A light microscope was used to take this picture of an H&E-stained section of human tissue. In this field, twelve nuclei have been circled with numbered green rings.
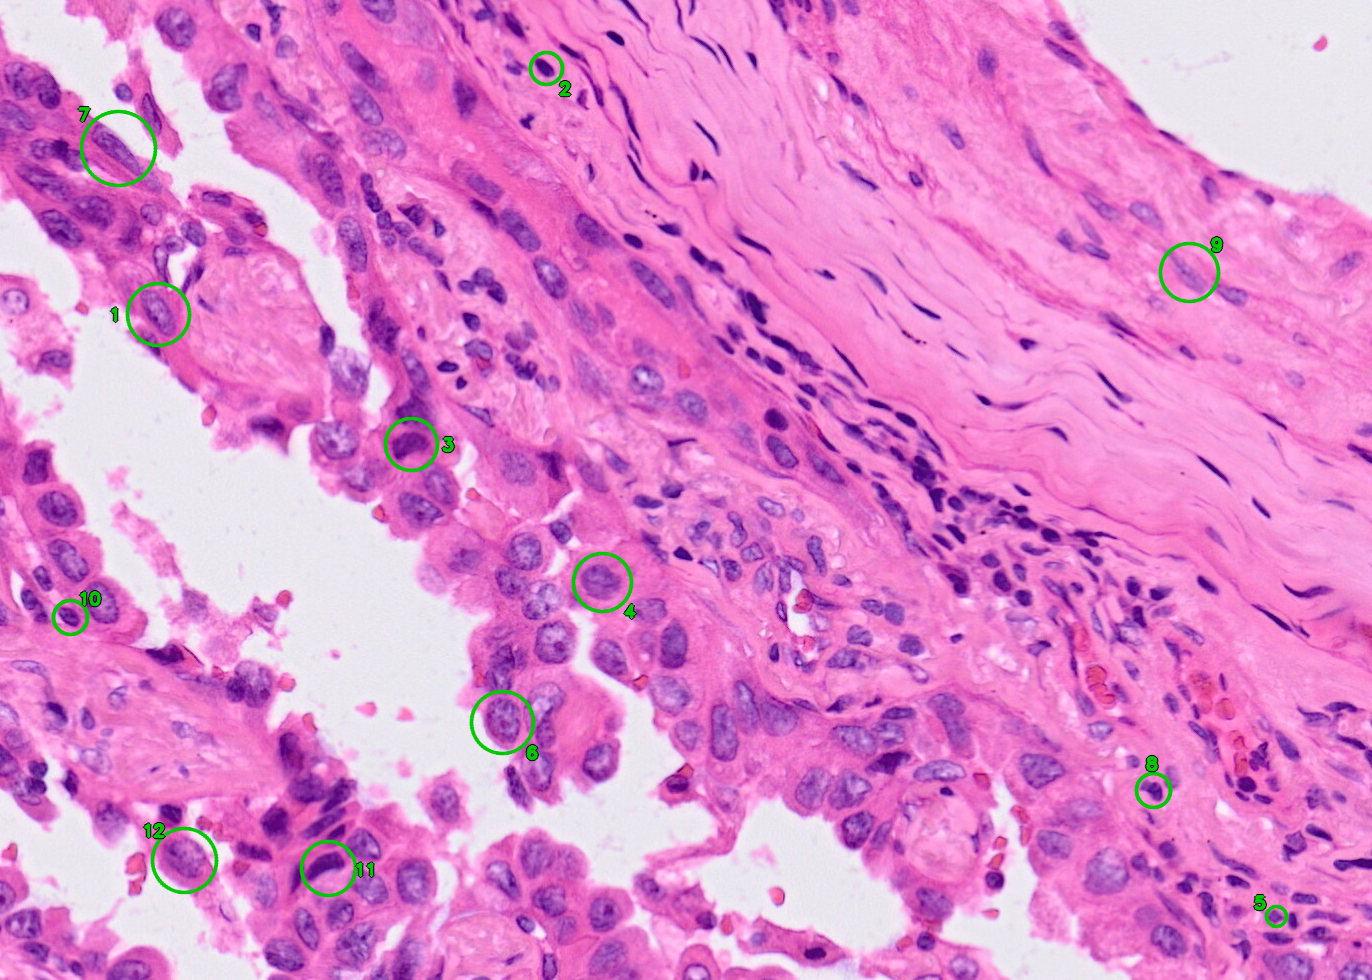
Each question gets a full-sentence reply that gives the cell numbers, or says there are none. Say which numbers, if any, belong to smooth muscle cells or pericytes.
No marked cell except number 9 is a smooth muscle cell or pericyte.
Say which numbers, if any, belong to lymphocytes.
Within this tissue, the cells numbered 2, 5, 8 and 10 are lymphocytes.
